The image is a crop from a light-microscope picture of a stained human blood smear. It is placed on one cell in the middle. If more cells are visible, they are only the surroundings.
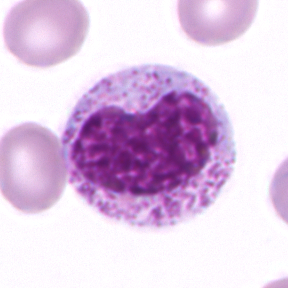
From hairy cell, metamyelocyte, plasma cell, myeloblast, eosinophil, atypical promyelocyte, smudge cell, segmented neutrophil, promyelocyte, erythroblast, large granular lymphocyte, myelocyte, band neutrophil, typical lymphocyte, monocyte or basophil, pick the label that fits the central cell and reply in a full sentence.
The cell in the middle of this crop is a metamyelocyte.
